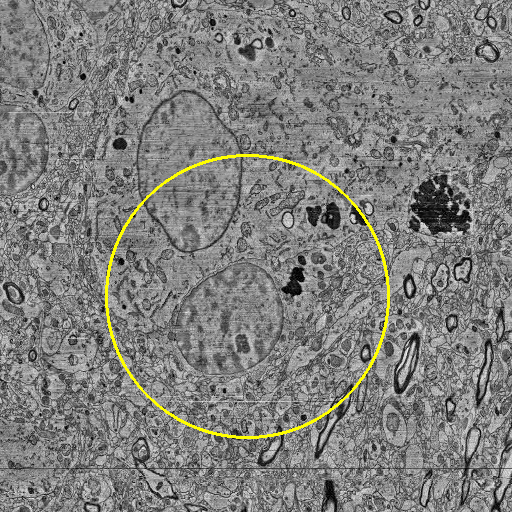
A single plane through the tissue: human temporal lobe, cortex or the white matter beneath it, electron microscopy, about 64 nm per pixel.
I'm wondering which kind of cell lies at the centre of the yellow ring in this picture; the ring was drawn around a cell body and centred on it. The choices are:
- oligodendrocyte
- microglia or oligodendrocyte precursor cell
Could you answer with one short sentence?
At the centre of the ring lies an oligodendrocyte.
